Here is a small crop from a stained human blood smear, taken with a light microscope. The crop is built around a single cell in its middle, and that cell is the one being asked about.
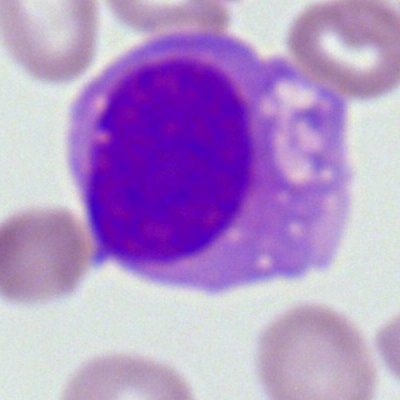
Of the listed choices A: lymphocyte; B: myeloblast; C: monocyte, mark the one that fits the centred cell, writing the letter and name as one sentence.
The middle of the crop contains a monocyte, so option C is right.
